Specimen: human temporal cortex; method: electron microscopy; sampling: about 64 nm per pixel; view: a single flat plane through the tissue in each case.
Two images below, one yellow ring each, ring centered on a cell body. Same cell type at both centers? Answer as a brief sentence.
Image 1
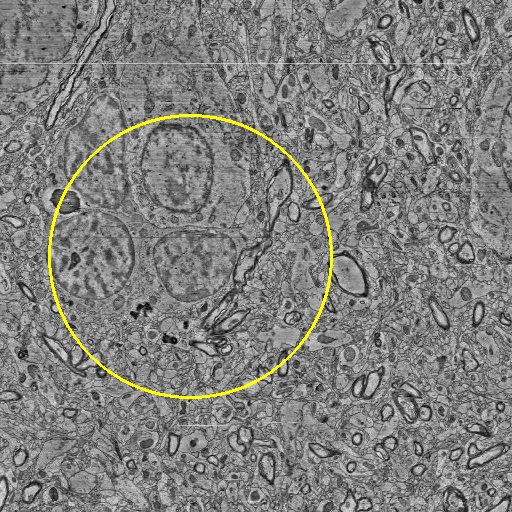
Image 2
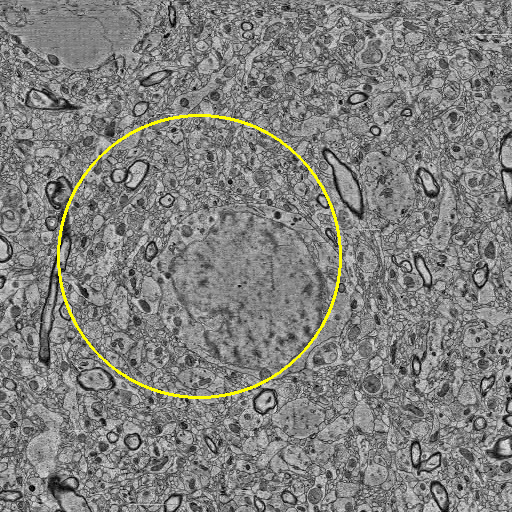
No, the cells are of two separate types.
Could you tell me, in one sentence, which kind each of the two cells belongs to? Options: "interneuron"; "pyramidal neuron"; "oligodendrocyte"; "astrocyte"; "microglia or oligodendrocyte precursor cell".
At the centre of the first ring sits an oligodendrocyte, and at the centre of the second sits an interneuron.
